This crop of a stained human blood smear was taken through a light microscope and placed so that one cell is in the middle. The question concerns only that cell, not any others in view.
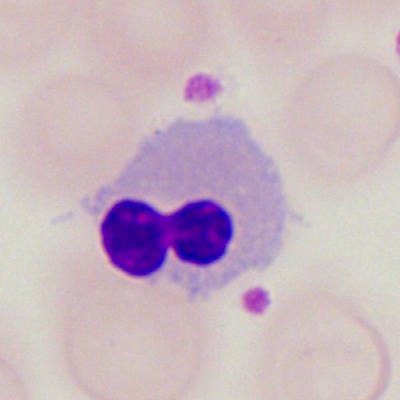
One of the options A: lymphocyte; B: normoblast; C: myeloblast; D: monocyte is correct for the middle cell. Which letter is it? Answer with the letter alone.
B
